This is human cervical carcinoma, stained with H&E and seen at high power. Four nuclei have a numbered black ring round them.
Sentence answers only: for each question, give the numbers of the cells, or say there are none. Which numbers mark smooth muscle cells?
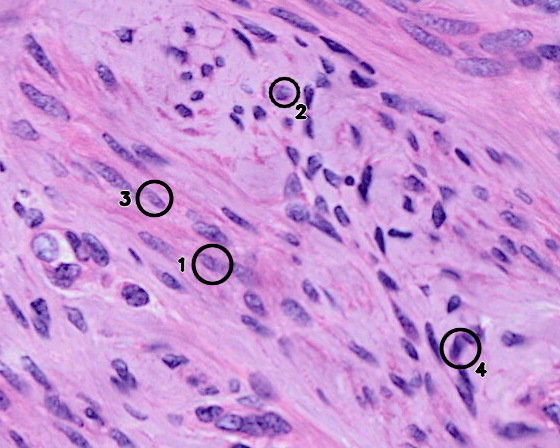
Cells 1, 2 and 3 are smooth muscle cells by cell type.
